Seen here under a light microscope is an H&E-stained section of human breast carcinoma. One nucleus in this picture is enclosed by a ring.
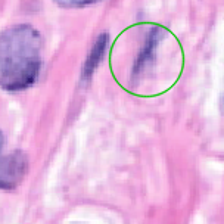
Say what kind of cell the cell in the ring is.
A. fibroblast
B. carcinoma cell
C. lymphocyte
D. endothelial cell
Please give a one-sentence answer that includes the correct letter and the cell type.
Option A is correct here; the cell in the ring is a fibroblast.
